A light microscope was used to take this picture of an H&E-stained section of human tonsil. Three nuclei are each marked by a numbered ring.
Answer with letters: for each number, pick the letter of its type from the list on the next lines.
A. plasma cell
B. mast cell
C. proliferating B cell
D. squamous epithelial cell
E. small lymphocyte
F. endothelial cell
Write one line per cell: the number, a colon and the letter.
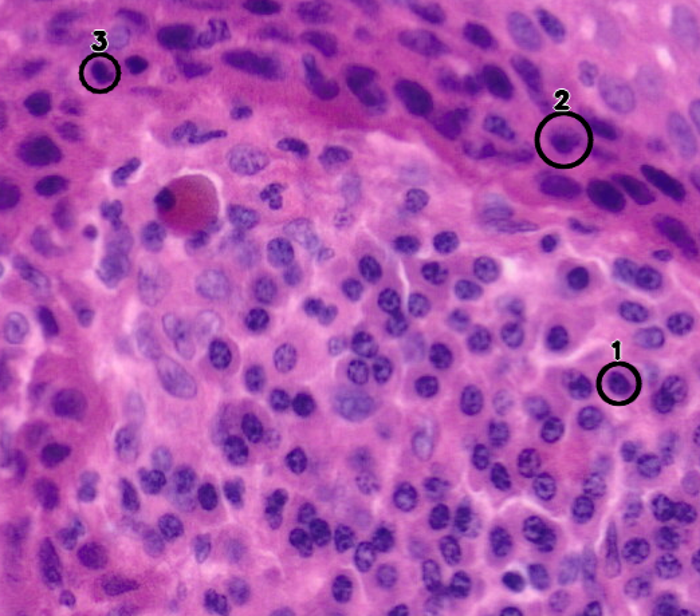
1: A
2: D
3: D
